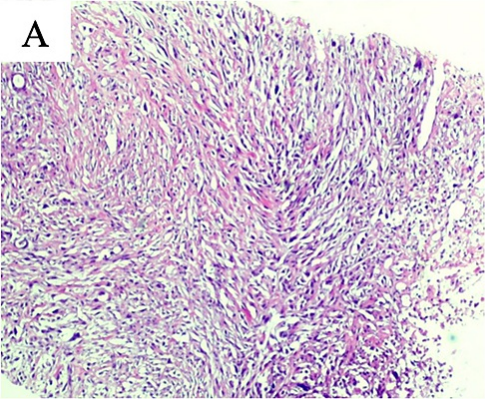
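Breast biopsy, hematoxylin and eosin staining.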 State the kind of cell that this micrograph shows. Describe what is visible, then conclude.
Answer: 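Cells and nuclei are elongated and spindle-shaped. Cells run in parallel, sweeping bundles.
Answer: fusiform cells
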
